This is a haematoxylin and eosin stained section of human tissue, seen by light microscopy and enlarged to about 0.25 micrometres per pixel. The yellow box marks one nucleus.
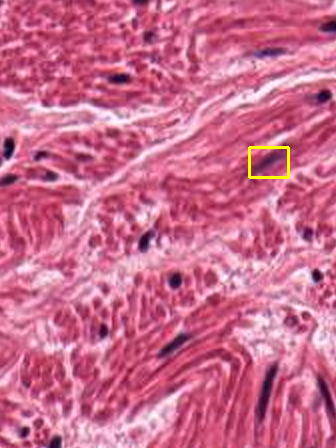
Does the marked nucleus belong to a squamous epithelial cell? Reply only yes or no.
no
